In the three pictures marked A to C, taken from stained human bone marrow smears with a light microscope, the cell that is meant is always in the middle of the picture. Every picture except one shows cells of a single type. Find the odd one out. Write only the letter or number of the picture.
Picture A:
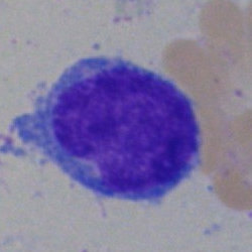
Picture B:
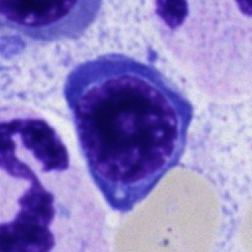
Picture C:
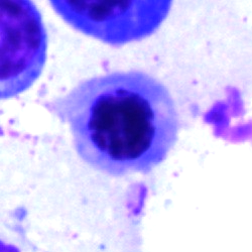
A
